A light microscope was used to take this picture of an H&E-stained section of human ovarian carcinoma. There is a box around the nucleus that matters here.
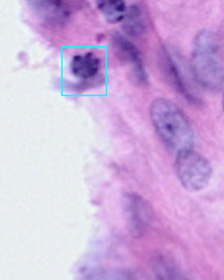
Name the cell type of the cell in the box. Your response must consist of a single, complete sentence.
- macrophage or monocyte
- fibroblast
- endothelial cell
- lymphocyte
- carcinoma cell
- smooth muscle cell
For cell typing purposes, the cell in the box is a lymphocyte.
